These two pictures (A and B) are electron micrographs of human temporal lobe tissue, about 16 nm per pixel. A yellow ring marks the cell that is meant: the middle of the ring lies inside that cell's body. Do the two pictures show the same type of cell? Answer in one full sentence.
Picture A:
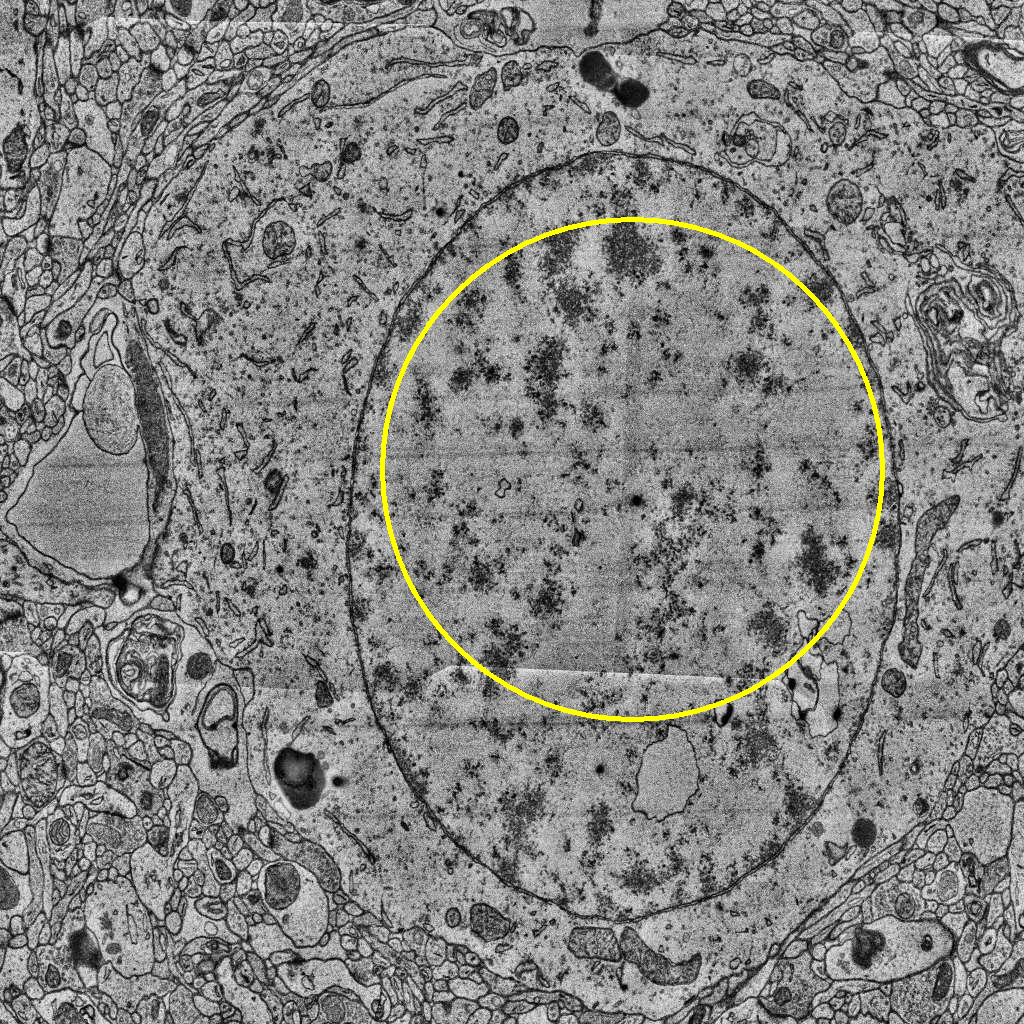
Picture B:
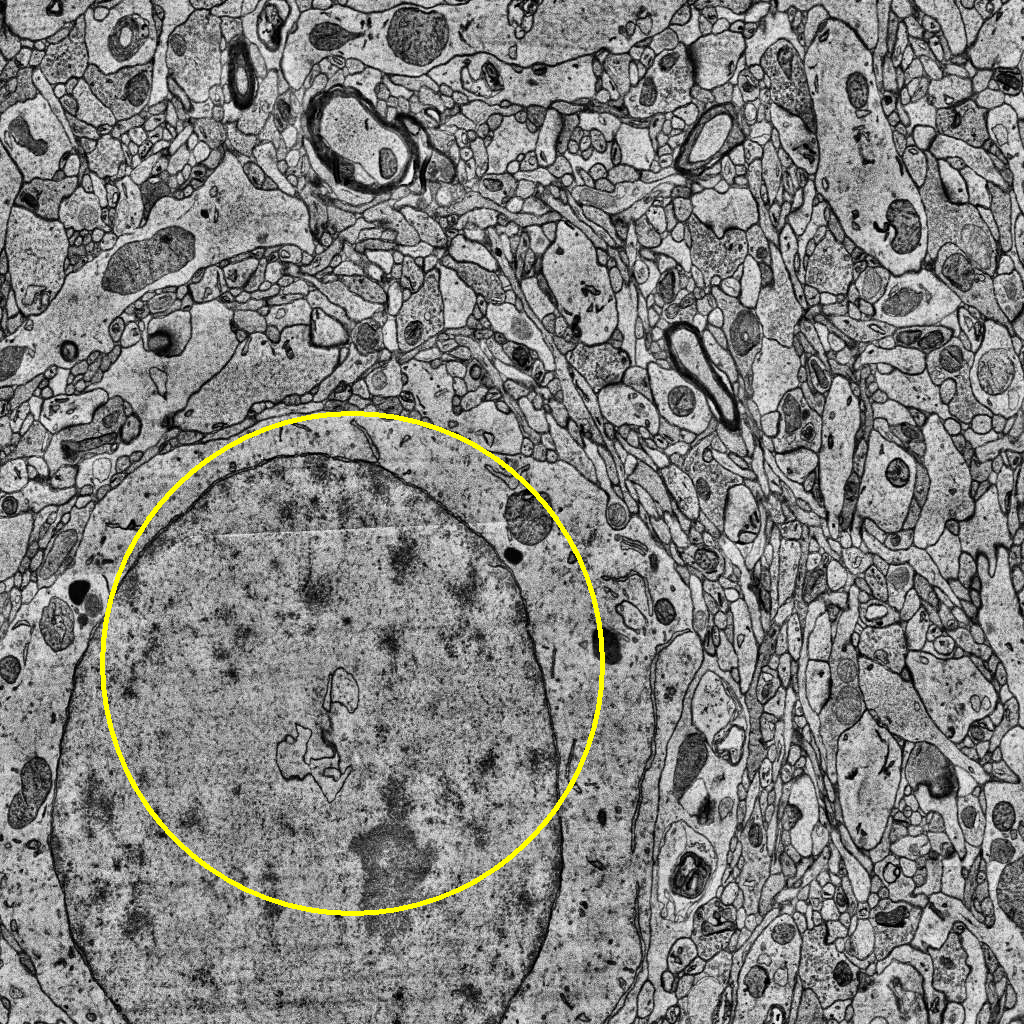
Yes, they are the same type: both are pyramidal neurons.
